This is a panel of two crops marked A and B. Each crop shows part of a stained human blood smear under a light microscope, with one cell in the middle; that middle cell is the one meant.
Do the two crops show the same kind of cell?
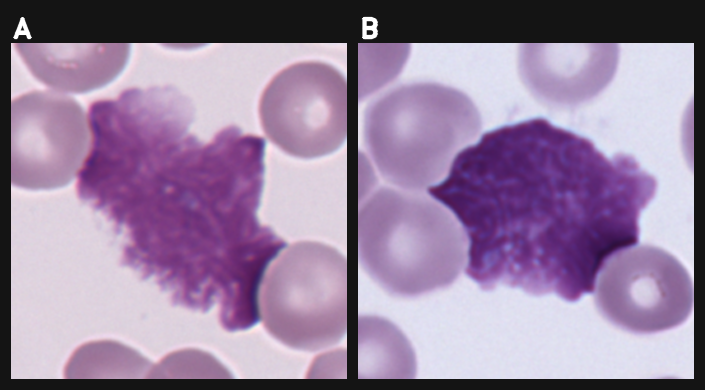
yes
